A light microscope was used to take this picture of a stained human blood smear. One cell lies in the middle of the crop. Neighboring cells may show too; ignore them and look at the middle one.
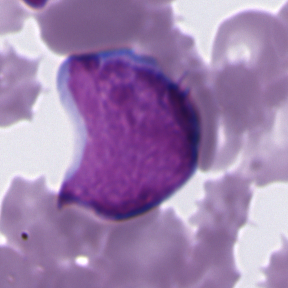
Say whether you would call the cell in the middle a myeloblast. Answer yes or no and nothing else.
yes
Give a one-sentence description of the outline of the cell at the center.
The perimeter of the cell is irregular, with ragged sections or outward projections.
